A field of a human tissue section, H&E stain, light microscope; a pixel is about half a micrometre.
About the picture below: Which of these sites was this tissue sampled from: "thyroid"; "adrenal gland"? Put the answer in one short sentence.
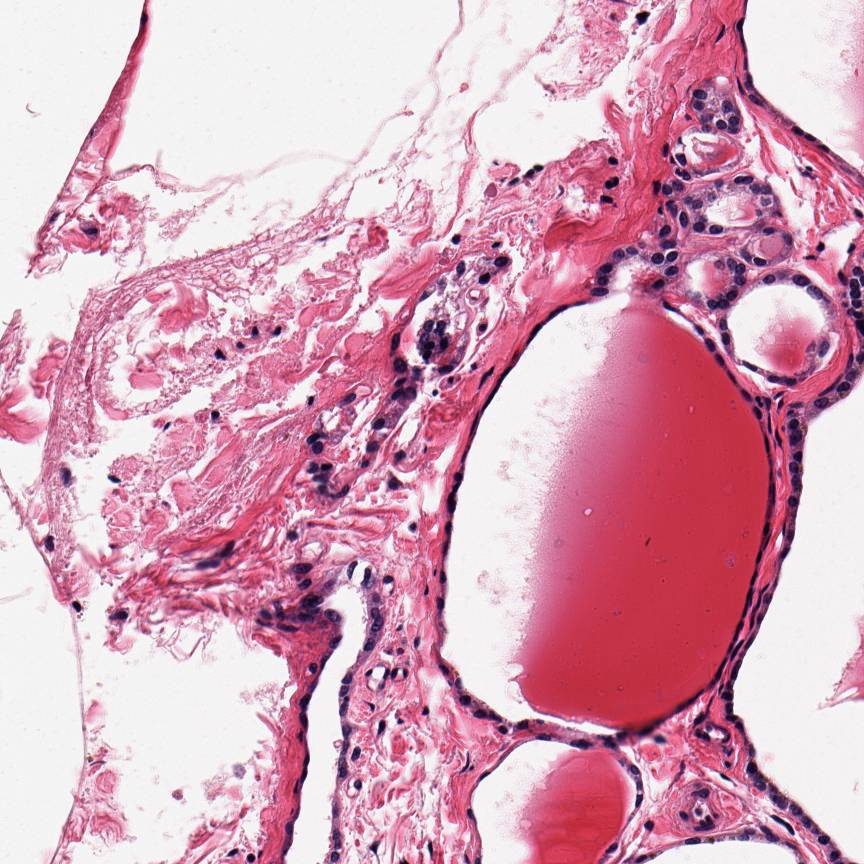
The site this tissue was sampled from is the thyroid.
